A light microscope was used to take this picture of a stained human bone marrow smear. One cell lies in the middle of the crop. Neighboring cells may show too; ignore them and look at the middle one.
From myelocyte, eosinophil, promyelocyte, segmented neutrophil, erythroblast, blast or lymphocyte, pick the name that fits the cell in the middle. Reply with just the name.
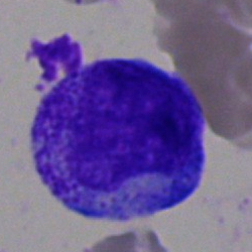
myelocyte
